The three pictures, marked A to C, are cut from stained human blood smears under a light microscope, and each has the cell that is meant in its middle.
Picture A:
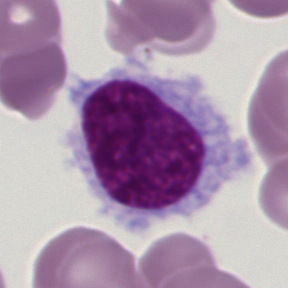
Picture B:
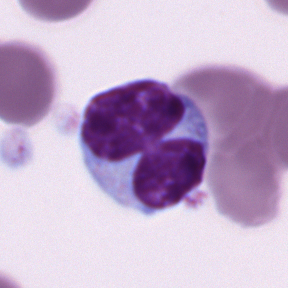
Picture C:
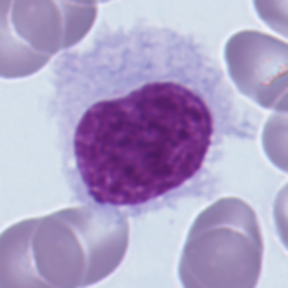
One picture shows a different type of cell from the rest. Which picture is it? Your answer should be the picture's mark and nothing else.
B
